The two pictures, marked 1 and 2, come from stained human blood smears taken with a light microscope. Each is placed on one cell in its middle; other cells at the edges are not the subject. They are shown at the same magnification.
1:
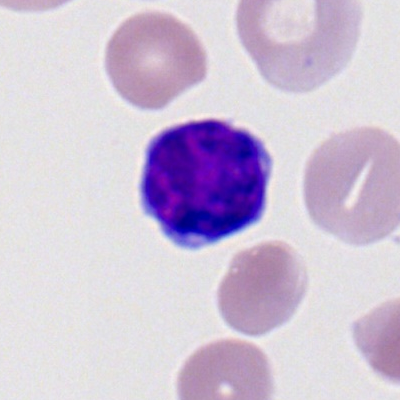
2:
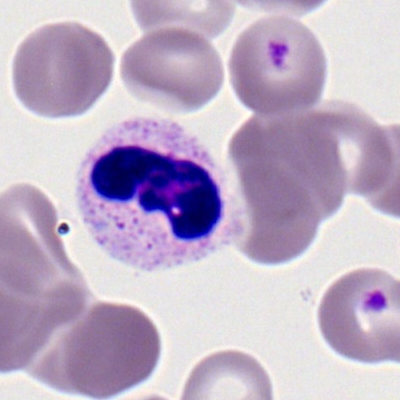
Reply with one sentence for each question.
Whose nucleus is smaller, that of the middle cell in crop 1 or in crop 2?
Smaller is the nucleus in crop 2, and the other is about 1.5 times as large in area.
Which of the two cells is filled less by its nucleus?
It is the cell in crop 2 that is filled less by its nucleus.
